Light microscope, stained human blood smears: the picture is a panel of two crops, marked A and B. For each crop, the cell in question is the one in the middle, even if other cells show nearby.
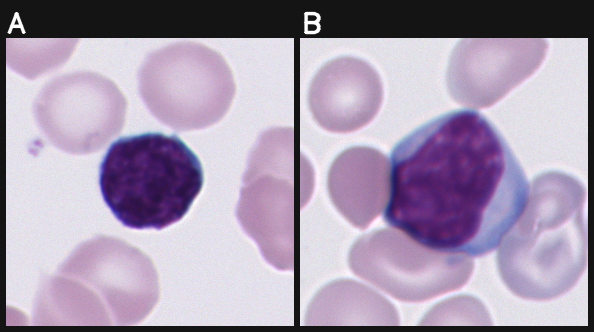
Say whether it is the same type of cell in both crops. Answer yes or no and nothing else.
yes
